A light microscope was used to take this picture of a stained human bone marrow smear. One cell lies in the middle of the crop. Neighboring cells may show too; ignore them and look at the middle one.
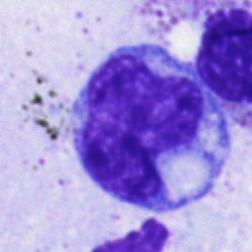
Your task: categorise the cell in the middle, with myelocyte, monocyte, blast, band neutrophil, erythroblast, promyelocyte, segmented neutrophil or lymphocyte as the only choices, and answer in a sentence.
The cell of interest, located centrally, is a monocyte.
